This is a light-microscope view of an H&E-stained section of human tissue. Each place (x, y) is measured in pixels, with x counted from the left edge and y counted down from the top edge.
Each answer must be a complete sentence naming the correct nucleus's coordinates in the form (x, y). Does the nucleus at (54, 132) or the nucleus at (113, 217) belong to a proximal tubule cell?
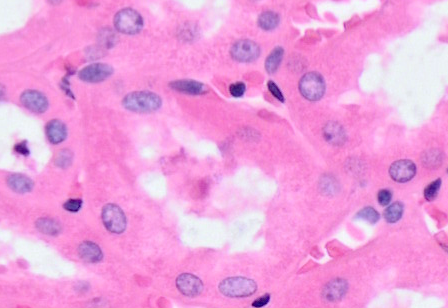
The nucleus at (113, 217) is contained in a proximal tubule cell.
